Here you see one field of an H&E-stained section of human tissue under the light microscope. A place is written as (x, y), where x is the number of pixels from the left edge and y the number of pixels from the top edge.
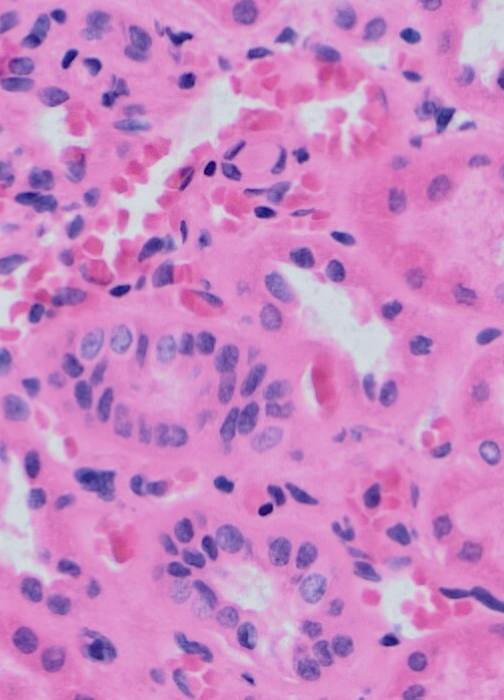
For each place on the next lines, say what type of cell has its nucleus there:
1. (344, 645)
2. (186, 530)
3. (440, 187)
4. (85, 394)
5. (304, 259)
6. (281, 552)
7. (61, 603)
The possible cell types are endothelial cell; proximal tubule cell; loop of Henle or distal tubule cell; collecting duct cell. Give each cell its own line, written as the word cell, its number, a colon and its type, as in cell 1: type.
cell 1: collecting duct cell
cell 2: collecting duct cell
cell 3: proximal tubule cell
cell 4: collecting duct cell
cell 5: loop of Henle or distal tubule cell
cell 6: collecting duct cell
cell 7: loop of Henle or distal tubule cell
